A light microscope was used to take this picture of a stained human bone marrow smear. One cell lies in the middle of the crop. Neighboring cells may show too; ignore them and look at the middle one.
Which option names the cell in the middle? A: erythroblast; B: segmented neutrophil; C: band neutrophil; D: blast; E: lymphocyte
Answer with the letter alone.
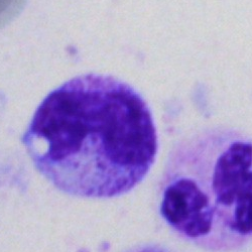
C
